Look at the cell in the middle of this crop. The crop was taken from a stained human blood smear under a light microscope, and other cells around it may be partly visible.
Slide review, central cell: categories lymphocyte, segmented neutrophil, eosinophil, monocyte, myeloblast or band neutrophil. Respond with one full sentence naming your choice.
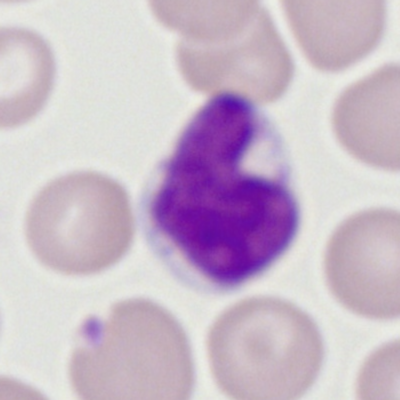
Whatever else lies nearby, the middle cell is a lymphocyte.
